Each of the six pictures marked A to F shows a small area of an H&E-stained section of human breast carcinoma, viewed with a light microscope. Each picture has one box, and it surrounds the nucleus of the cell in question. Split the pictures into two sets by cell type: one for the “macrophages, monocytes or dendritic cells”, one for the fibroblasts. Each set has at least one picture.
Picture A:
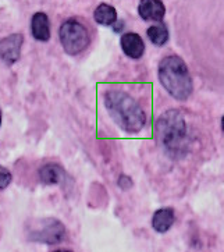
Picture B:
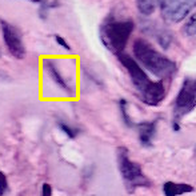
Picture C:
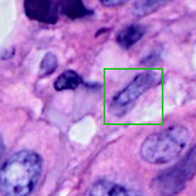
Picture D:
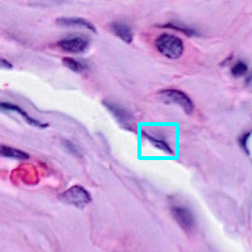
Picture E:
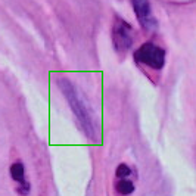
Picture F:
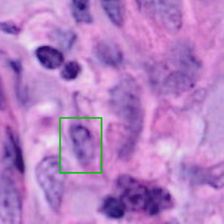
A: macrophage, monocyte or dendritic cell
B: fibroblast
C: macrophage, monocyte or dendritic cell
D: fibroblast
E: fibroblast
F: macrophage, monocyte or dendritic cell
